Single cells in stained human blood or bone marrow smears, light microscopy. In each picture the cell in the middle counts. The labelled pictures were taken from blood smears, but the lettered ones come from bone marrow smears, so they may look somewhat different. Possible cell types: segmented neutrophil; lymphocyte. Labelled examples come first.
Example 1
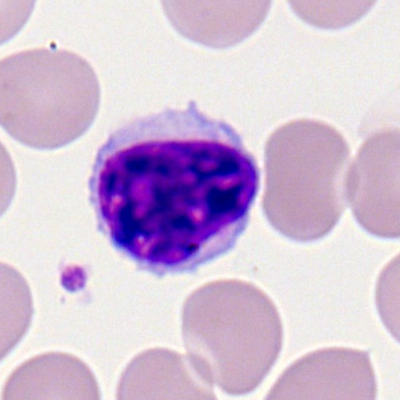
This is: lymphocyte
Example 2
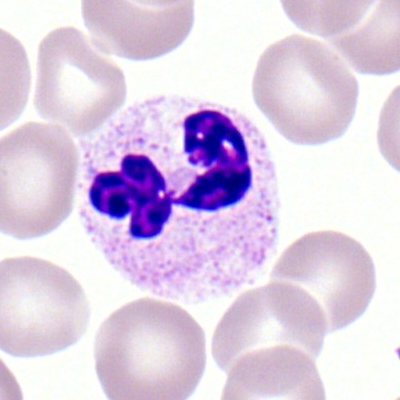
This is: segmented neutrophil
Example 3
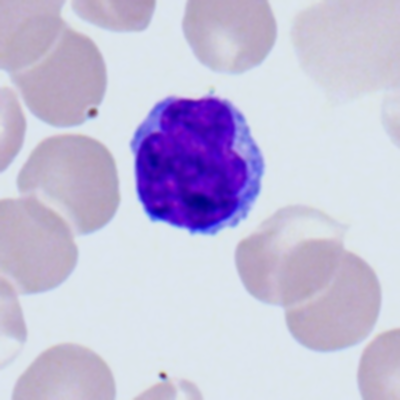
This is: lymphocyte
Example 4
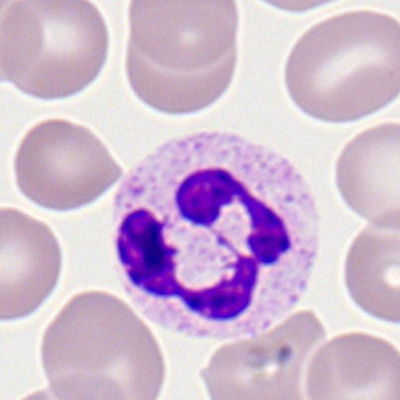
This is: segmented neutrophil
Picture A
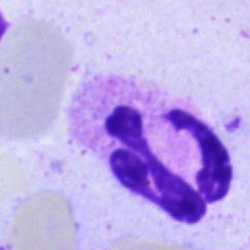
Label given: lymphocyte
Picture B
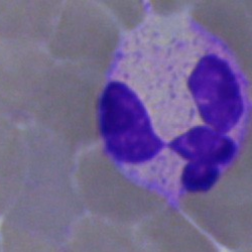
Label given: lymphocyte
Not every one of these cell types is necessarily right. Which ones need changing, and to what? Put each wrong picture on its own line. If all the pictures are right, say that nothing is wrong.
Wrong: A (lymphocyte); correct: segmented neutrophil
Wrong: B (lymphocyte); correct: segmented neutrophil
